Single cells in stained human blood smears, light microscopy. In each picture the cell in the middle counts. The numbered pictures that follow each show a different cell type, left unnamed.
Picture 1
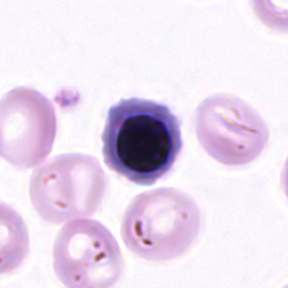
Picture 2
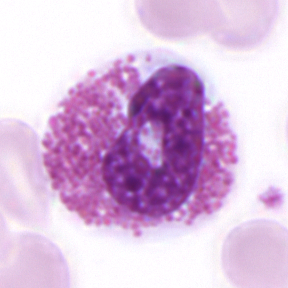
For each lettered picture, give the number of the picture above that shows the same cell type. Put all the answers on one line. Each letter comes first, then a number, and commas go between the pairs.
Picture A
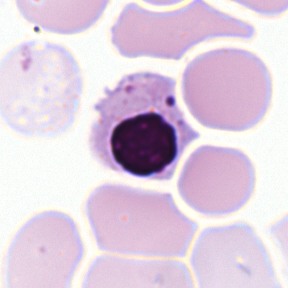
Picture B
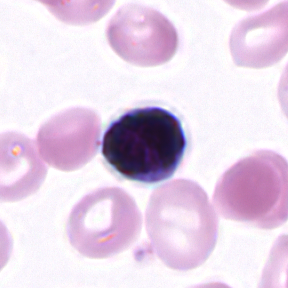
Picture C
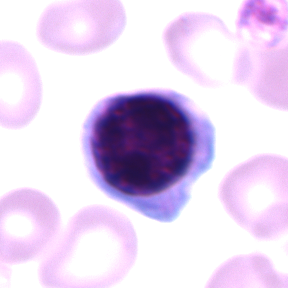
A 1, B 1, C 1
